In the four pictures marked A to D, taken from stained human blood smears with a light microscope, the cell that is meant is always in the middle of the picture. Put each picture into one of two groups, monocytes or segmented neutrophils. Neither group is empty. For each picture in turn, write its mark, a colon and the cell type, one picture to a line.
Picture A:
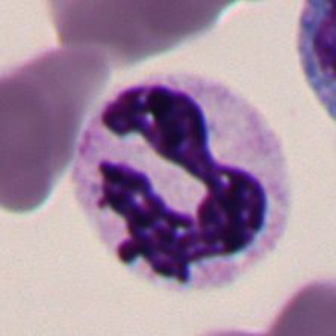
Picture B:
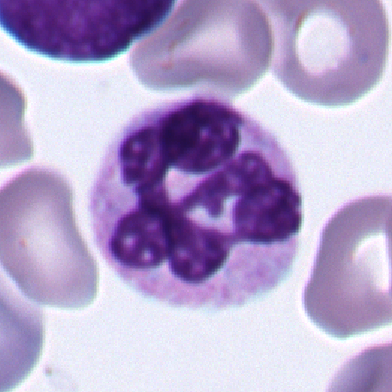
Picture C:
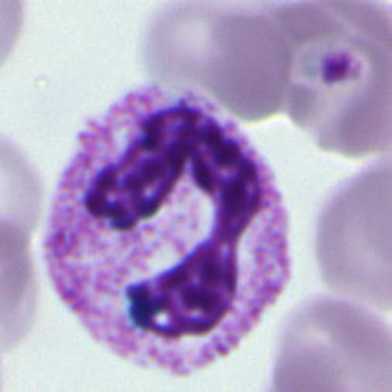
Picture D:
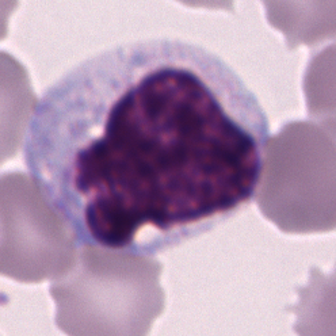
A: segmented neutrophil
B: segmented neutrophil
C: segmented neutrophil
D: monocyte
